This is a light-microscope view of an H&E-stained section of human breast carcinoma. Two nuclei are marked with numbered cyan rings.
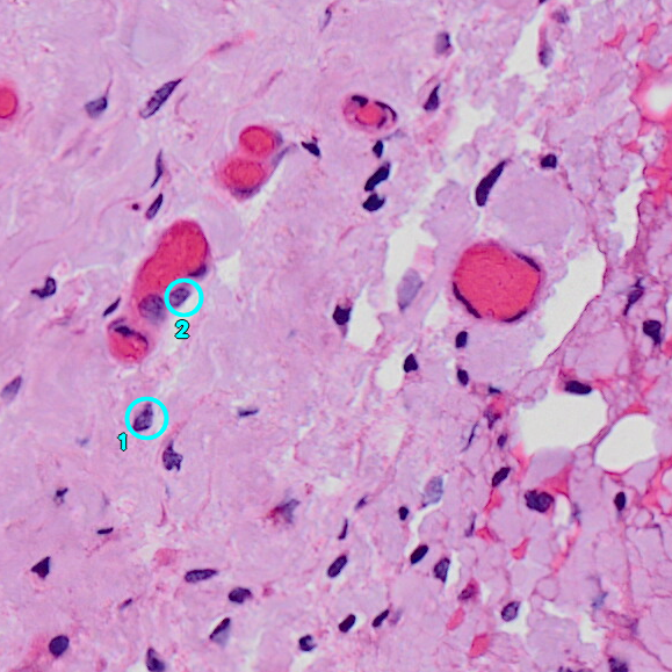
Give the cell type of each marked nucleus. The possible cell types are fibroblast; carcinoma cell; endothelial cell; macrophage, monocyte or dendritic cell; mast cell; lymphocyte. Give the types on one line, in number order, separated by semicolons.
fibroblast; endothelial cell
